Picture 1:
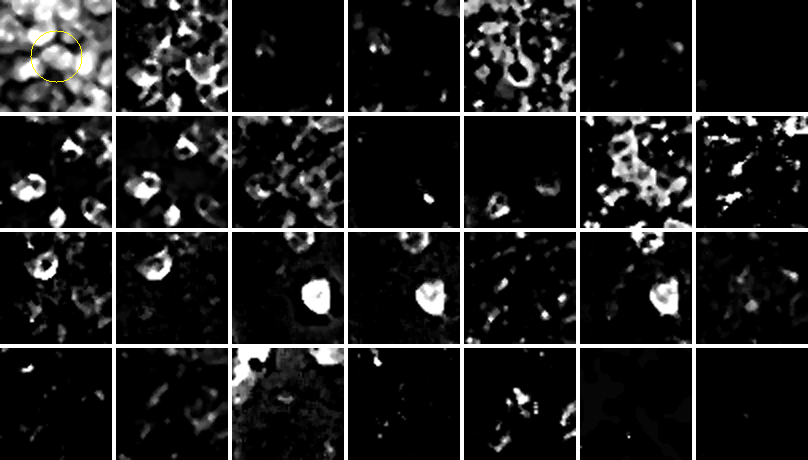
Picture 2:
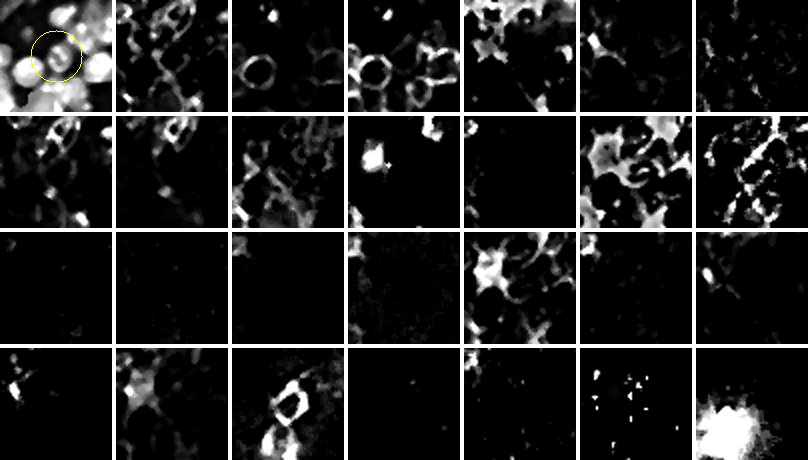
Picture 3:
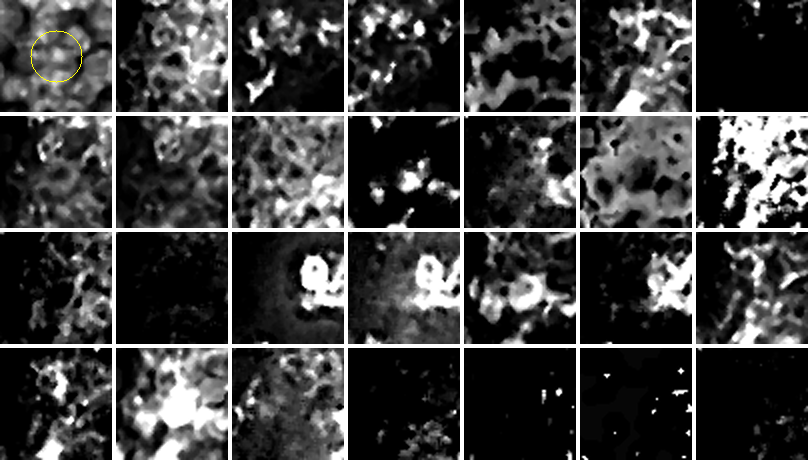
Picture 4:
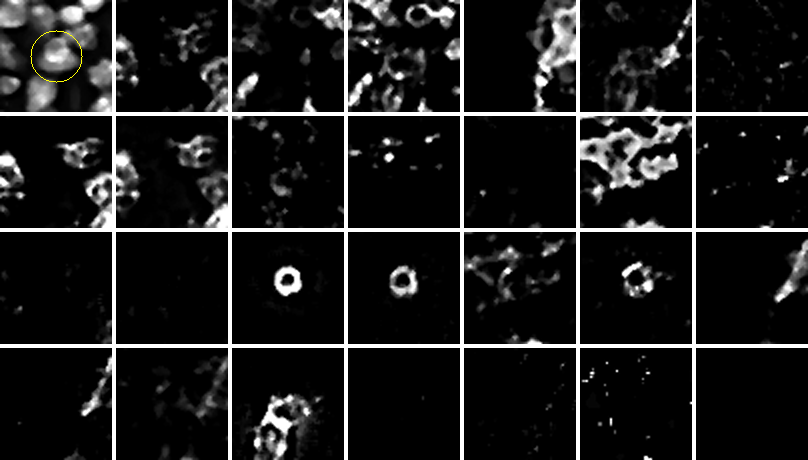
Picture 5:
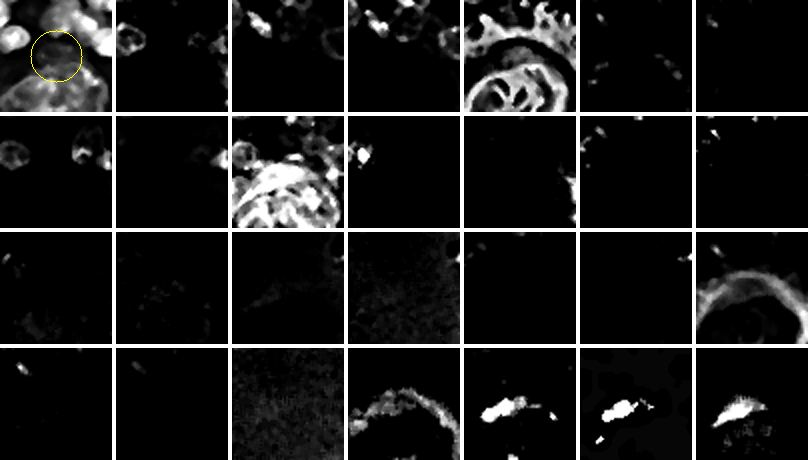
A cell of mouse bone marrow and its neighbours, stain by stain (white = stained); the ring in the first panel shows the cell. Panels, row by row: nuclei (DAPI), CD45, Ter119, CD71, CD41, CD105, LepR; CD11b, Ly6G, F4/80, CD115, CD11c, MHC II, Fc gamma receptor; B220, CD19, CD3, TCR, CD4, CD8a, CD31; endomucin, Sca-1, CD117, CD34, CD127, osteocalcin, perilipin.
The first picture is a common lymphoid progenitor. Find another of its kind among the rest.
Picture 5.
